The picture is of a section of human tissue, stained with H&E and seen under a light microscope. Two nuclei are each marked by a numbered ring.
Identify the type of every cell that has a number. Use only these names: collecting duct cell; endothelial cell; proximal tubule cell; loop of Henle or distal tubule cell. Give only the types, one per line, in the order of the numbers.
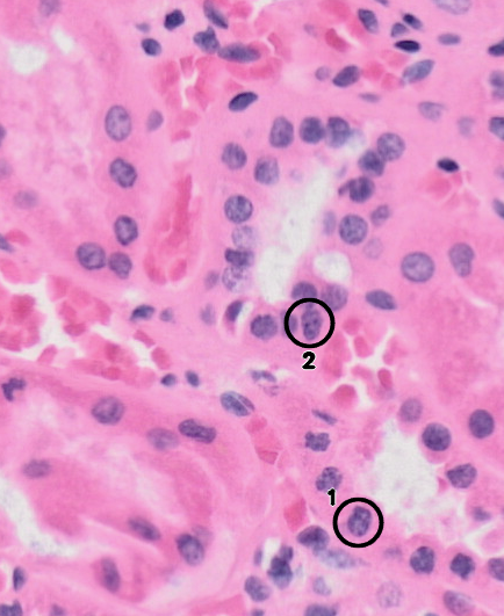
loop of Henle or distal tubule cell
collecting duct cell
